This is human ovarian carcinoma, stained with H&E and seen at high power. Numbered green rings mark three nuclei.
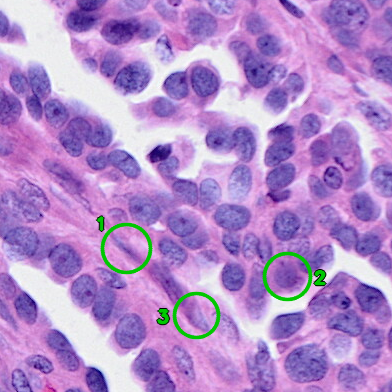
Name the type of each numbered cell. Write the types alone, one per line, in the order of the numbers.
fibroblast
carcinoma cell
fibroblast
